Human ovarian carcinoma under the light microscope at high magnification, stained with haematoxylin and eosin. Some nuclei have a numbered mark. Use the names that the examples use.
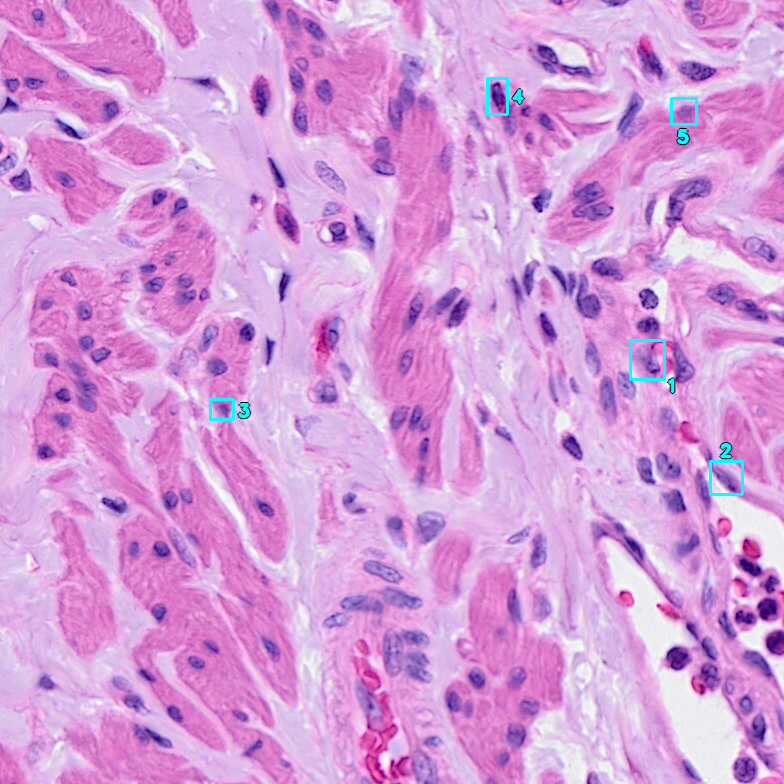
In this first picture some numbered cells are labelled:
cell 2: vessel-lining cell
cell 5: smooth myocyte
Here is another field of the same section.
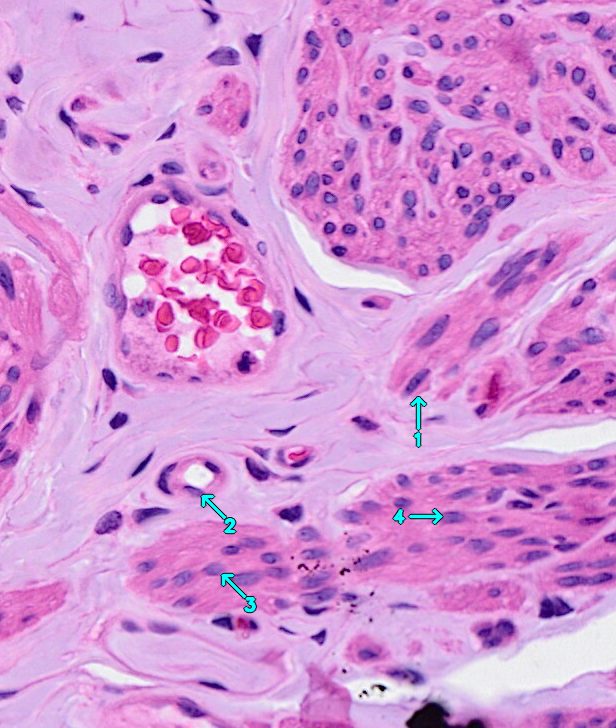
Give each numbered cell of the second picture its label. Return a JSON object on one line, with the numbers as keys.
{"1": "smooth myocyte", "2": "vessel-lining cell", "3": "smooth myocyte", "4": "smooth myocyte"}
